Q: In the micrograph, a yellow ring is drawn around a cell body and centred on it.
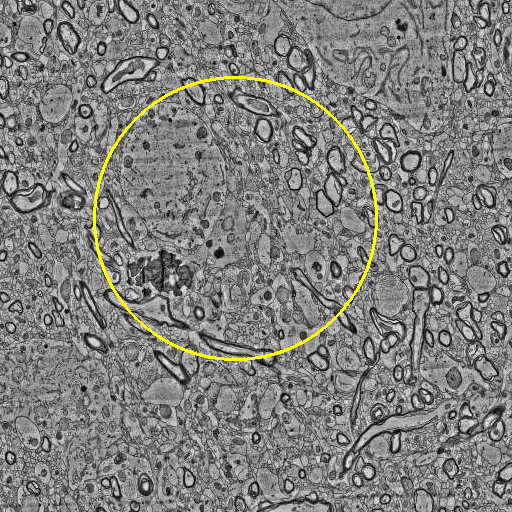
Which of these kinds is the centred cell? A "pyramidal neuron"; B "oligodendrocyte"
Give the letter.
B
